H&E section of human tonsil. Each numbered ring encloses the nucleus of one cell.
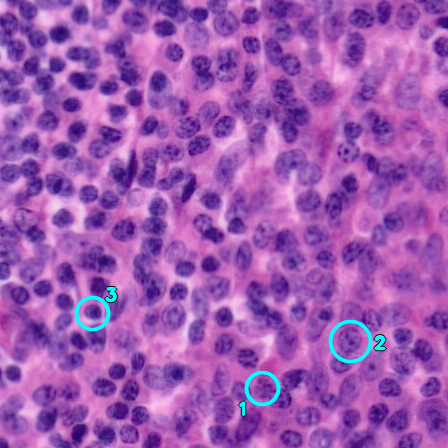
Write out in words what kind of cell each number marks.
Cell 1 is a plasma cell, cell 2 is a plasma cell and cell 3 is a small lymphocyte.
